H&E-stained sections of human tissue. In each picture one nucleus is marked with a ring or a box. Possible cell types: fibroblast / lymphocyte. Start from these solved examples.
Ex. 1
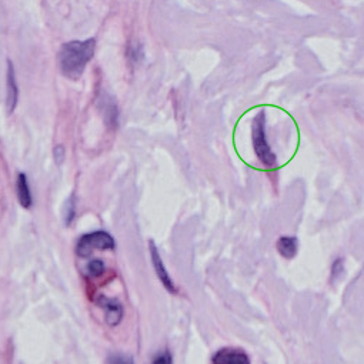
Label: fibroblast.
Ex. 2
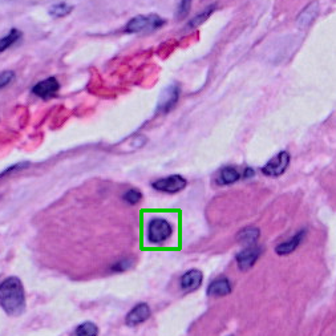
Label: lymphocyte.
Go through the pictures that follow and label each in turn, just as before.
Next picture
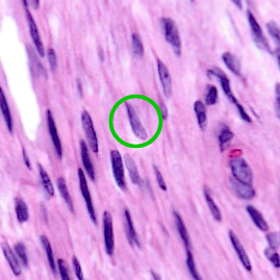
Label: fibroblast.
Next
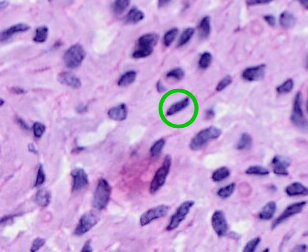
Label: fibroblast.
